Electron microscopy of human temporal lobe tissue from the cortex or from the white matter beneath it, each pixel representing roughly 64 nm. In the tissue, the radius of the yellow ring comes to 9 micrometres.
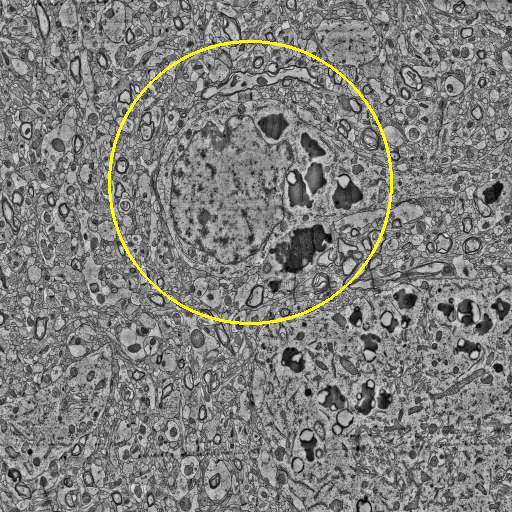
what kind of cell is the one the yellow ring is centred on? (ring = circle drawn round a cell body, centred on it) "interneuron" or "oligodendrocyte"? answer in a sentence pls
The ring is drawn around an interneuron.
